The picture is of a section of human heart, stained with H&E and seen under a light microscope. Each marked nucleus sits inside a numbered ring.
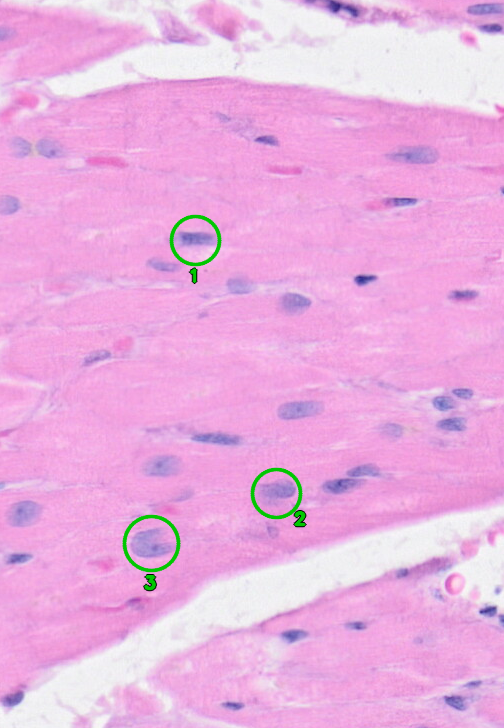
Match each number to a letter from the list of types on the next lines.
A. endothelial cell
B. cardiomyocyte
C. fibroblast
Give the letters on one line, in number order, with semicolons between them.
A; B; B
